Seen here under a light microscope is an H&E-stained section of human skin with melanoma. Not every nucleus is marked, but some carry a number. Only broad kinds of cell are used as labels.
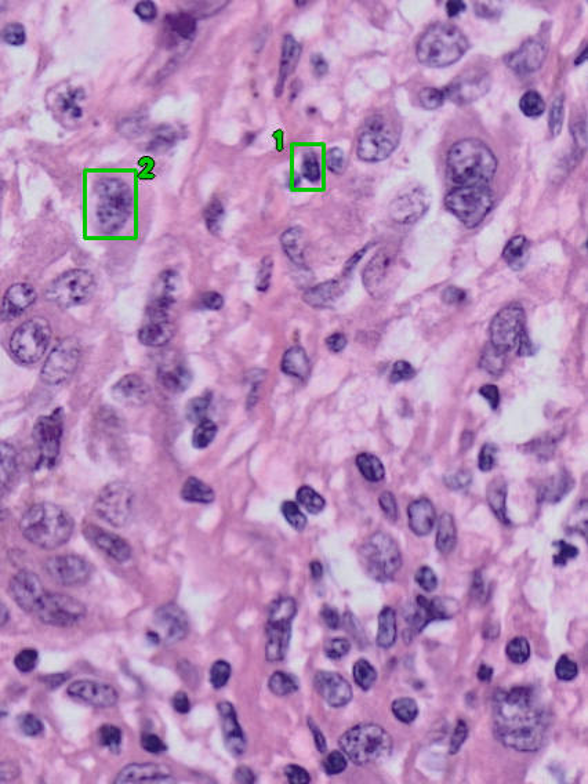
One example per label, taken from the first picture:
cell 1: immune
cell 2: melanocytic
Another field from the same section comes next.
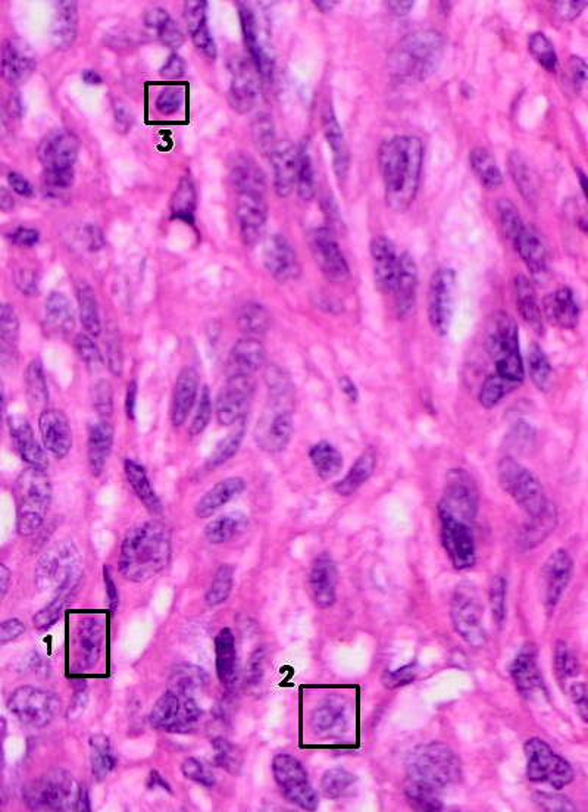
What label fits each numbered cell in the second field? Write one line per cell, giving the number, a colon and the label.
1: melanocytic
2: melanocytic
3: immune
